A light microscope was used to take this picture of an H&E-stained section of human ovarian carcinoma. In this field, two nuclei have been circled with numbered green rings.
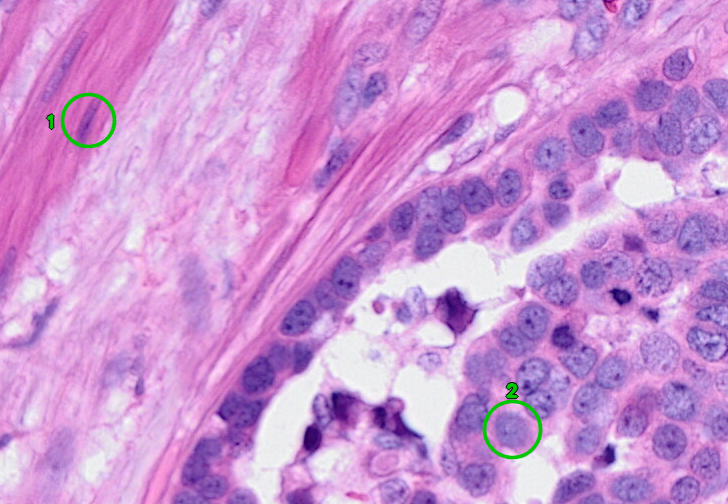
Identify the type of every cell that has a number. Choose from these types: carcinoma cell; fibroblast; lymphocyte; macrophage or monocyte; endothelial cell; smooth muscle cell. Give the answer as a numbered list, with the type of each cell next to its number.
1. smooth muscle cell
2. carcinoma cell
